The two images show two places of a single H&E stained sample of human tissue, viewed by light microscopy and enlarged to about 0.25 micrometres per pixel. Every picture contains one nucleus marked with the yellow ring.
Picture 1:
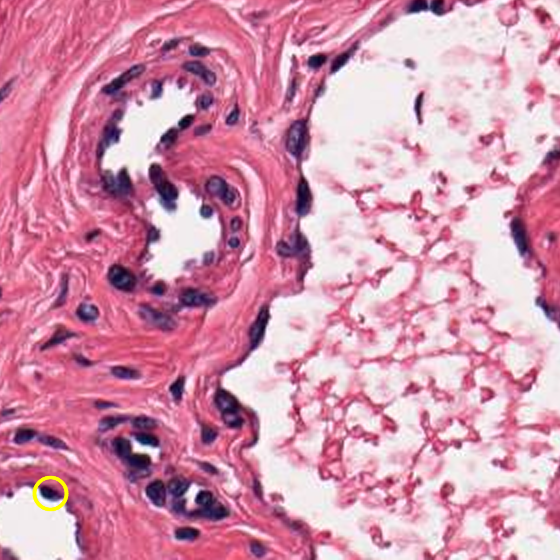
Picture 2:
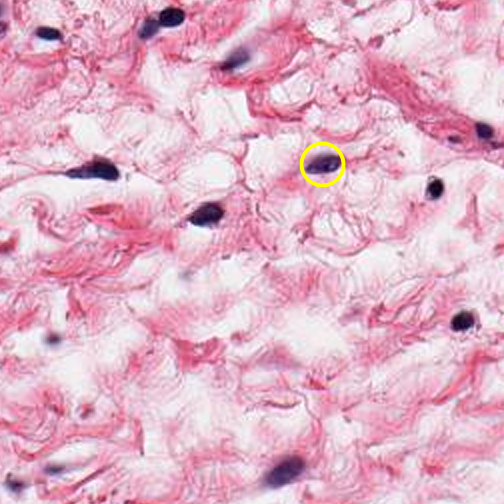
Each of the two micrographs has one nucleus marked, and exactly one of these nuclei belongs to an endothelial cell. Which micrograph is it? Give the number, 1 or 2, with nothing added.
1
